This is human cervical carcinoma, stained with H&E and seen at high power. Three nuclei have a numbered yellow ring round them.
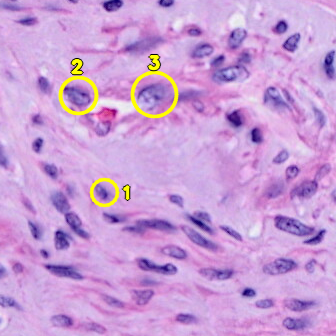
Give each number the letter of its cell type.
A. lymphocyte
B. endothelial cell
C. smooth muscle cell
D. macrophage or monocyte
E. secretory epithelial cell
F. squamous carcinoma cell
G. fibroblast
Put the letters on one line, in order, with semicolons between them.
C; B; B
